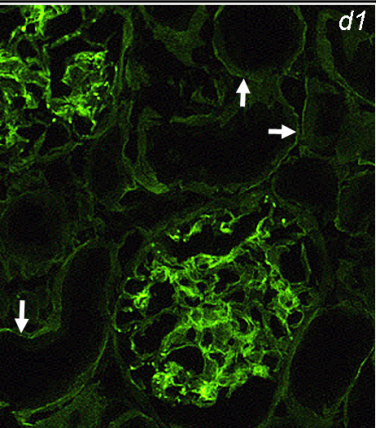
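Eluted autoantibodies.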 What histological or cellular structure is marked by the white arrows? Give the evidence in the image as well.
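The arrows point at thin green lines outlining round tubule profiles. These lines lie between neighbouring tubules, away from the brightly stained tufts.
Tubular basement membrane.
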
